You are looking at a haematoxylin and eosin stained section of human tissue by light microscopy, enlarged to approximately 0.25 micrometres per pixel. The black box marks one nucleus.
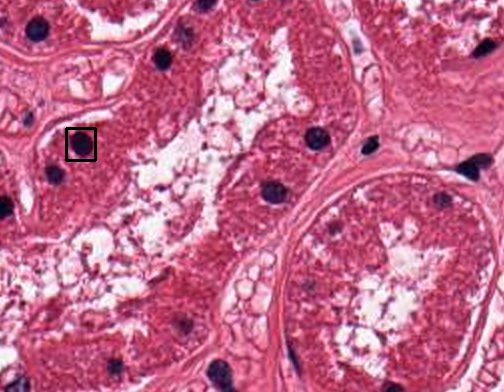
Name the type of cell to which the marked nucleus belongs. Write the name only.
proximal tubule cell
